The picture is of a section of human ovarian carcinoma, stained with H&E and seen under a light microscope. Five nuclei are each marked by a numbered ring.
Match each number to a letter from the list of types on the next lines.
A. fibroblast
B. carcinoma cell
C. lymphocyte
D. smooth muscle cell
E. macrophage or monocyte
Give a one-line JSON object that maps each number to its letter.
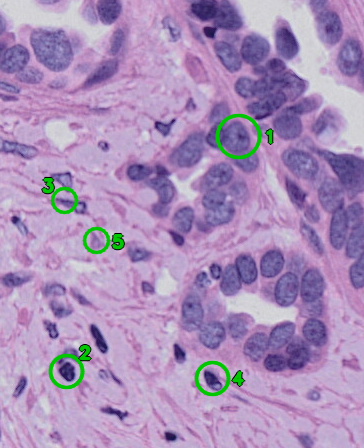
{"1": "B", "2": "C", "3": "A", "4": "C", "5": "A"}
